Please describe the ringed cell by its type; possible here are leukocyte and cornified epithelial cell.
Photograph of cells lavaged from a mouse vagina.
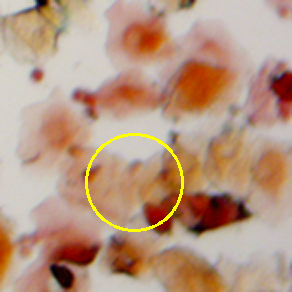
The yellow ring marks a cornified epithelial cell.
